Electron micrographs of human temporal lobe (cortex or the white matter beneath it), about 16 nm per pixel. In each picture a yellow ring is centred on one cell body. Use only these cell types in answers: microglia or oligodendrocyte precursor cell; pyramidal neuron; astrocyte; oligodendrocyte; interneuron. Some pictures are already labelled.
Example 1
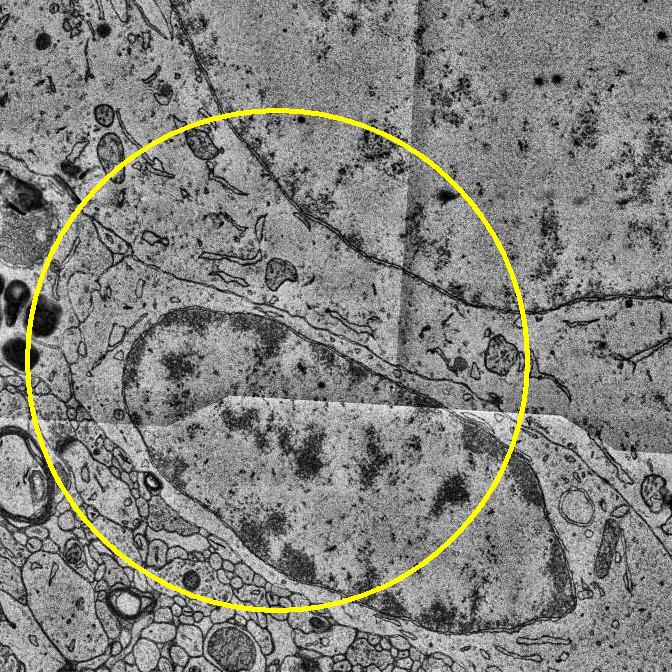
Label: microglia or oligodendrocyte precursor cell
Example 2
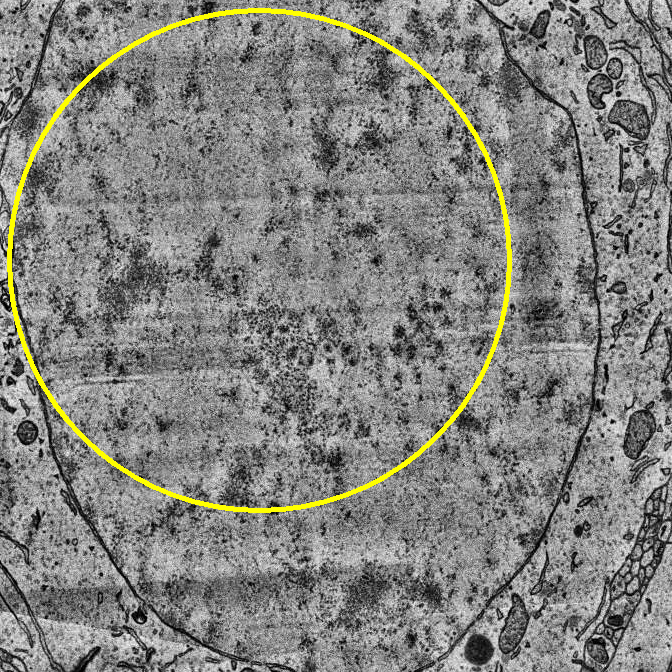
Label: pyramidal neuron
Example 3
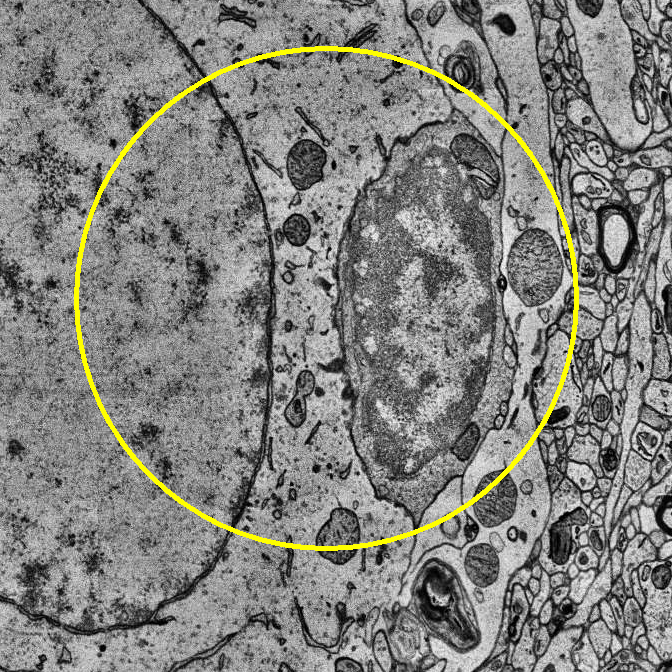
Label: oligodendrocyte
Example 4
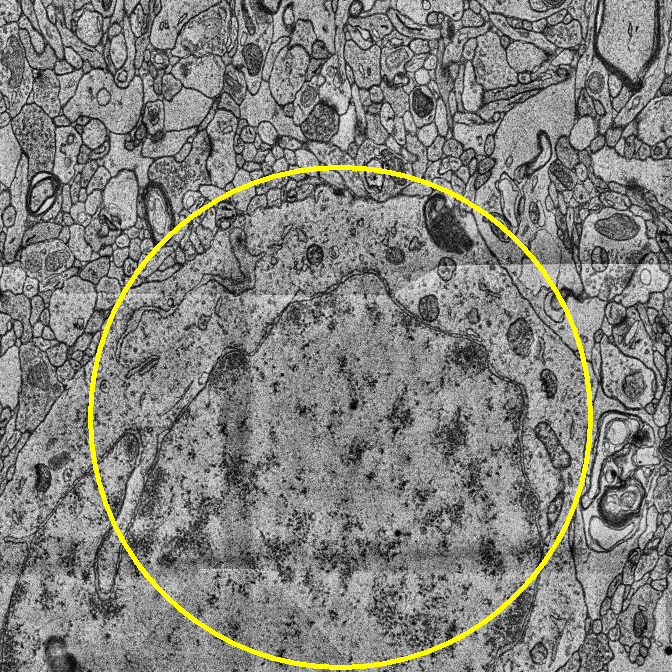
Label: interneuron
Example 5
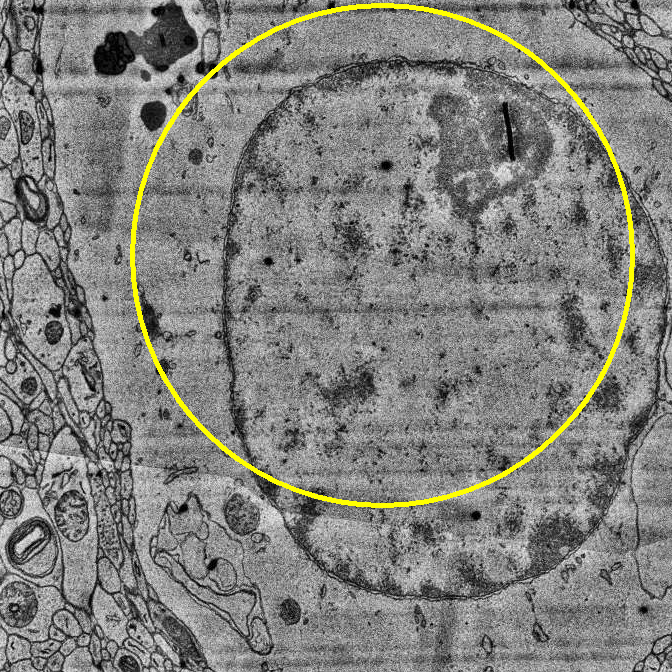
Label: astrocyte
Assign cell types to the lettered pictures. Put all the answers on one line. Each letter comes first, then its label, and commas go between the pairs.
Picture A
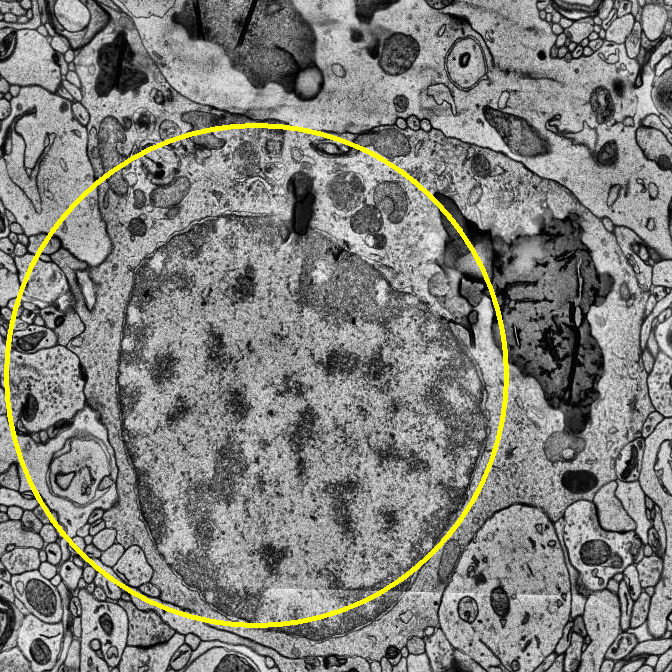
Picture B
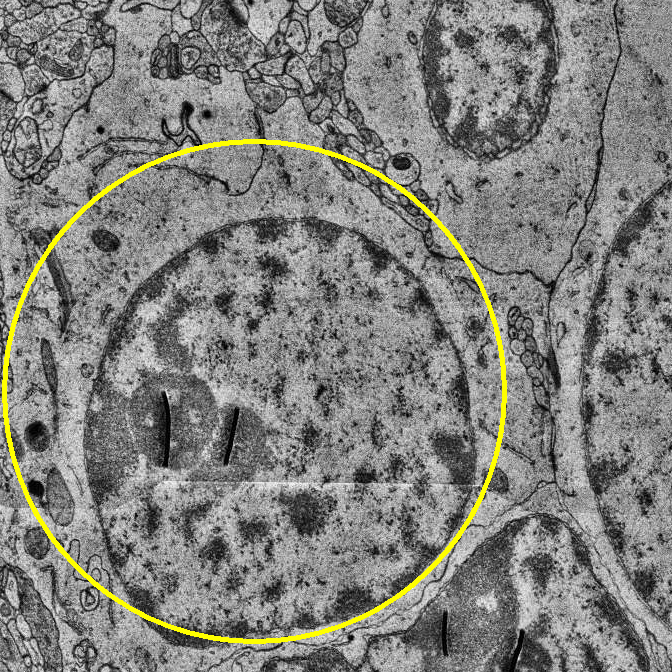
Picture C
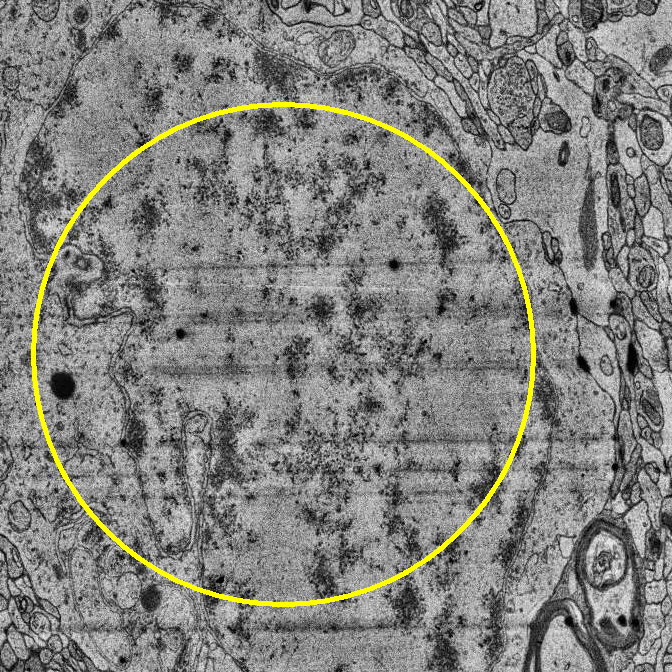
A oligodendrocyte, B astrocyte, C interneuron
